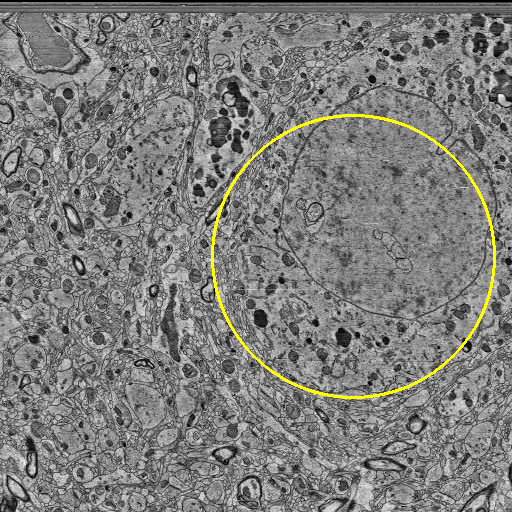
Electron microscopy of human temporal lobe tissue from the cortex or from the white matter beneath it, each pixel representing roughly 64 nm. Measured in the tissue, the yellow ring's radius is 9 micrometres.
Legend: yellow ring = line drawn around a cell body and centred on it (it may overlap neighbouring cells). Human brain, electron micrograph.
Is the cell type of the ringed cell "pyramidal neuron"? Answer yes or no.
yes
